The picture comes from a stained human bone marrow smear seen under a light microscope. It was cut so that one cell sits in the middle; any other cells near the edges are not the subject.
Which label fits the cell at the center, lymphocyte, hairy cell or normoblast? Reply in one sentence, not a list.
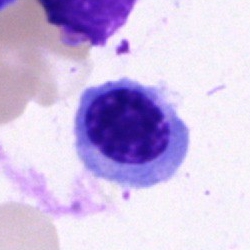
In the middle of this smear crop, the cell is a normoblast.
